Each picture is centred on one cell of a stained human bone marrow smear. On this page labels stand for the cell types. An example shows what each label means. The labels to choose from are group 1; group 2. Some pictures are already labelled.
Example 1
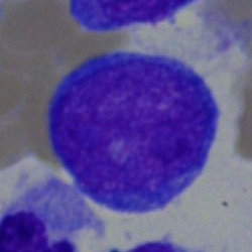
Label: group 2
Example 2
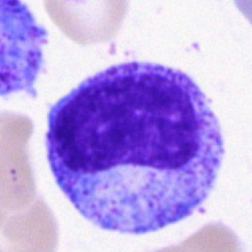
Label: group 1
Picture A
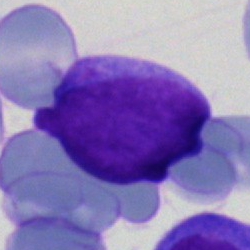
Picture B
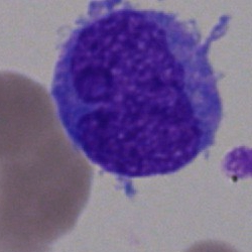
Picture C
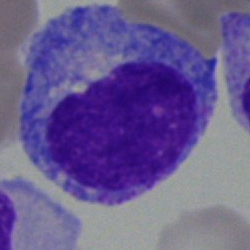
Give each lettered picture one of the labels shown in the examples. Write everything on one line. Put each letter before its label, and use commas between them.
A group 2, B group 2, C group 1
